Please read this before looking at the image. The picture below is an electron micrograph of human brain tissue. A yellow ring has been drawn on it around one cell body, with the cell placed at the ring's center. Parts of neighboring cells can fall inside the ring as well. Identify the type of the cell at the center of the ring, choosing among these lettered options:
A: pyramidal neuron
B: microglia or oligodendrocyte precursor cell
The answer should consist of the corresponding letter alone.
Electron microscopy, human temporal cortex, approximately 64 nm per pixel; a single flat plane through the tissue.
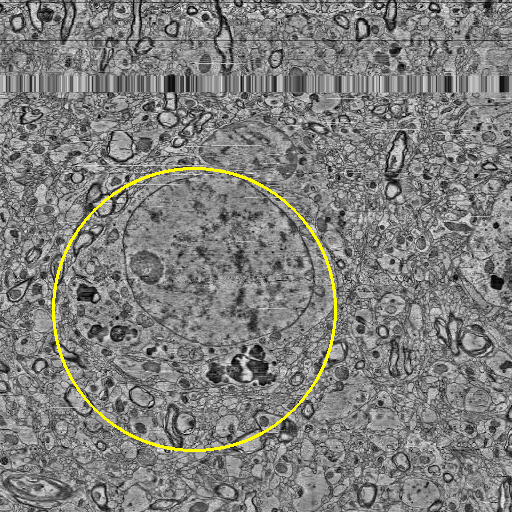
A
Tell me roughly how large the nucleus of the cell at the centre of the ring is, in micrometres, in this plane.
About 12 micrometres across in this plane, for the nucleus.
